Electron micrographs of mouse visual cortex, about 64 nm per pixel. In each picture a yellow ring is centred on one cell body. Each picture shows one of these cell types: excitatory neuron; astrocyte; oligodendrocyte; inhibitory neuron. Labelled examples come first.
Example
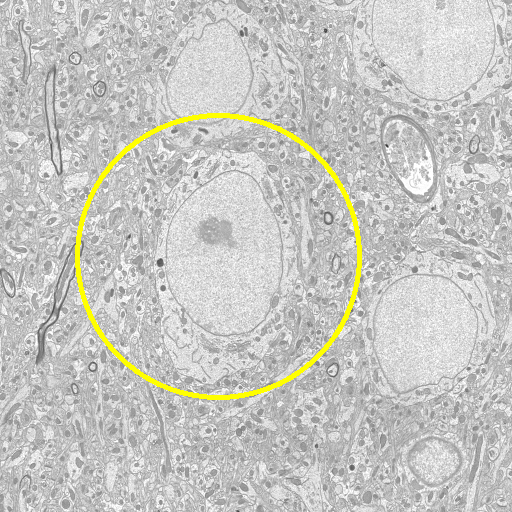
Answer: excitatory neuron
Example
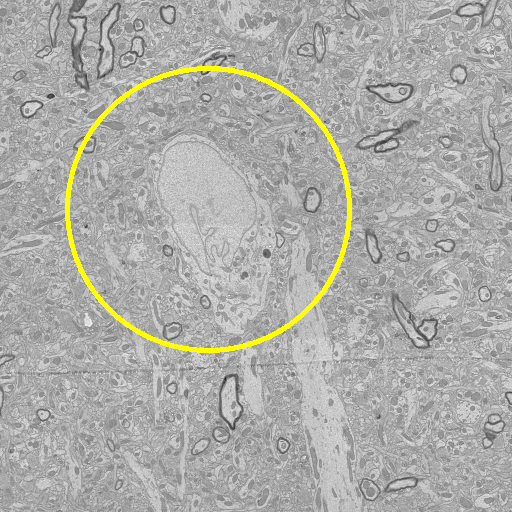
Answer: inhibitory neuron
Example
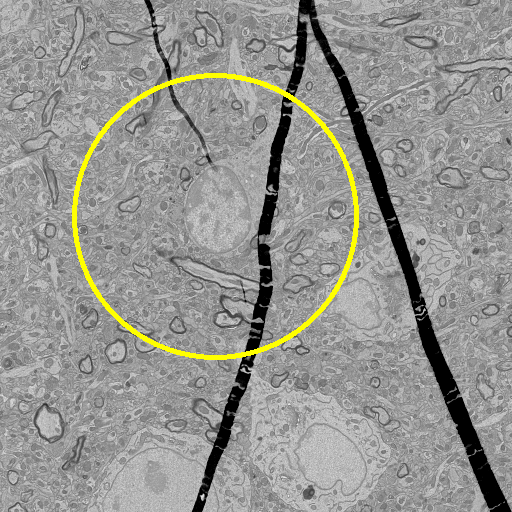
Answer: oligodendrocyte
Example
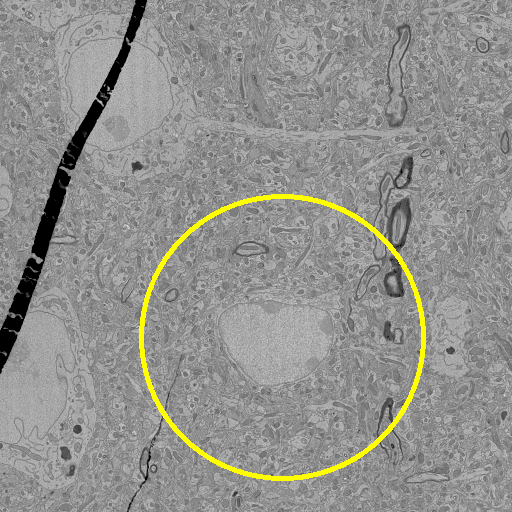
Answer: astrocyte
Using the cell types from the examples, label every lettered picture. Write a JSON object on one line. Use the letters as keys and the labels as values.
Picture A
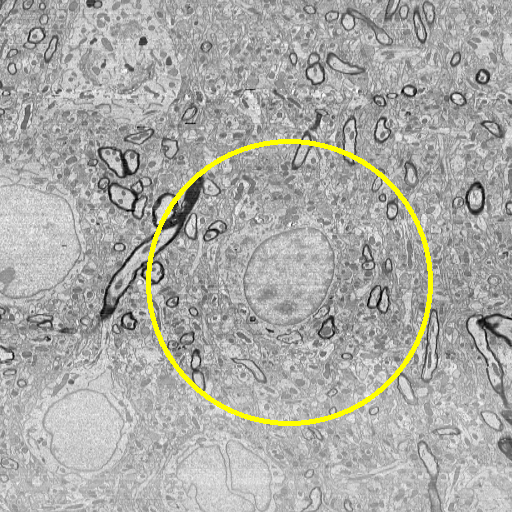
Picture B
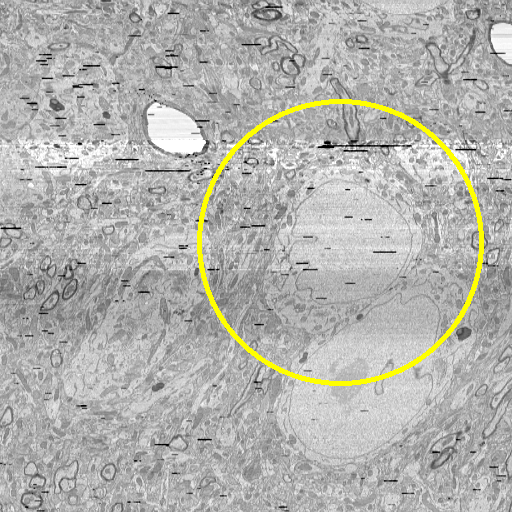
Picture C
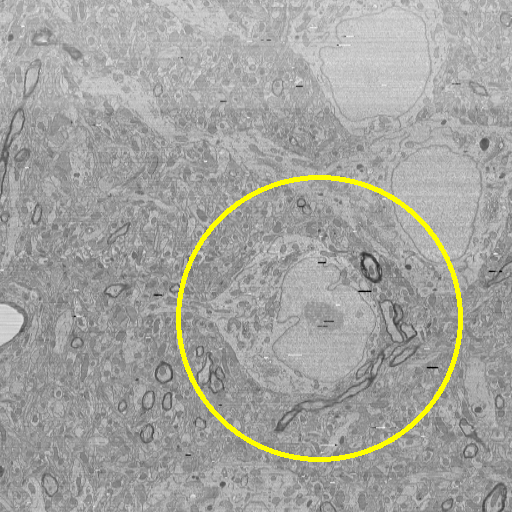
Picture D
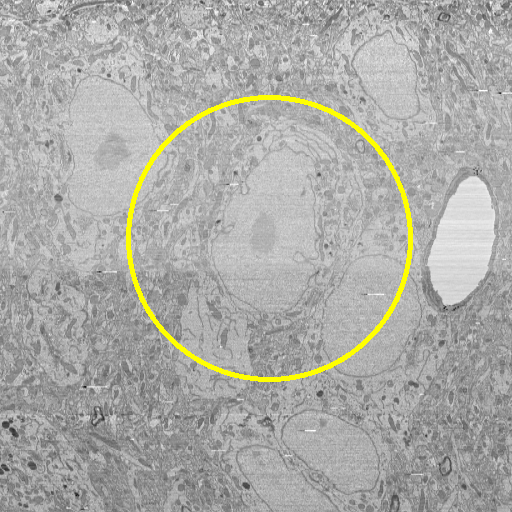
{"A": "oligodendrocyte", "B": "excitatory neuron", "C": "inhibitory neuron", "D": "inhibitory neuron"}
